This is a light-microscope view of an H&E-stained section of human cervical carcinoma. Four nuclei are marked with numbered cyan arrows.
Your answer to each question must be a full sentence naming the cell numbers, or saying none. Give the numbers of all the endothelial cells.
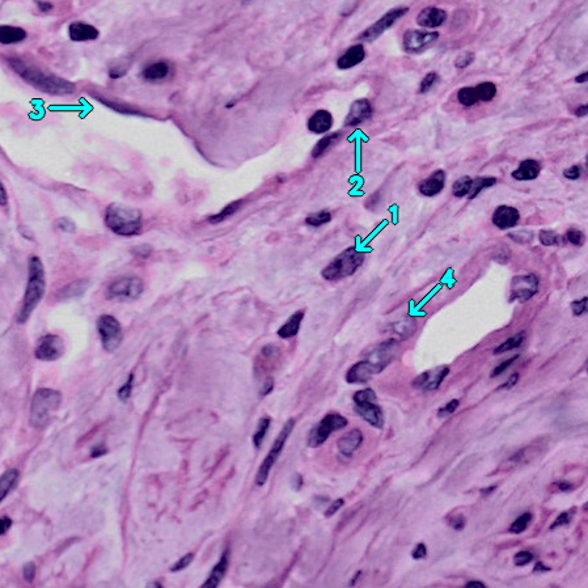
The cells shown with numbers 2, 3 and 4 are endothelial cells.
